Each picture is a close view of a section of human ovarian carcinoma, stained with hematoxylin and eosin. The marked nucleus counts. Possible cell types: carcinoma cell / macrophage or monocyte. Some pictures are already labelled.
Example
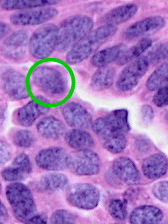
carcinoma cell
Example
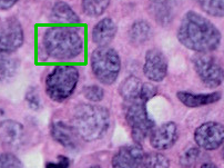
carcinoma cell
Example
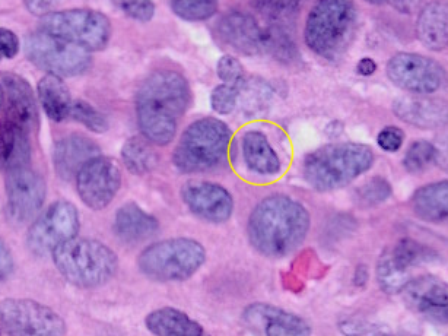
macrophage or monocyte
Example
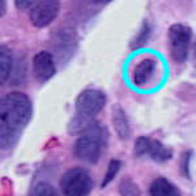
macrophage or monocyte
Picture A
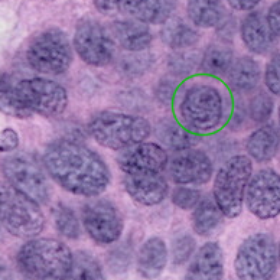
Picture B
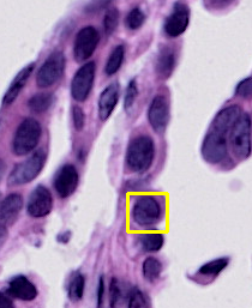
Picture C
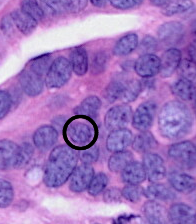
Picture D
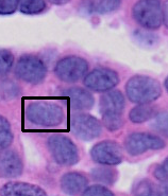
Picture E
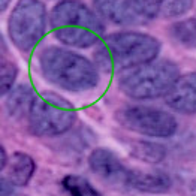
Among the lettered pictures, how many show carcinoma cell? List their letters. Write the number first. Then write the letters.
5: A, B, C, D, E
